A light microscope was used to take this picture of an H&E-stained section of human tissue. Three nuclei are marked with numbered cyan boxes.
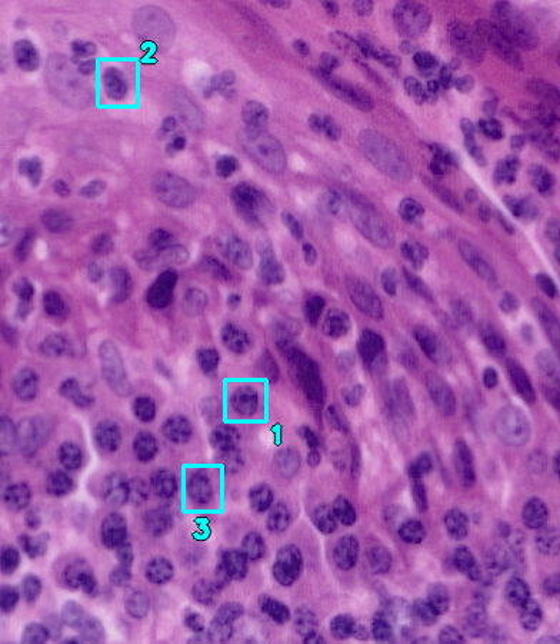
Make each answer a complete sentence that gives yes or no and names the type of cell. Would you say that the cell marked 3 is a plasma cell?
Yes, correct, the cell with the number 3 is a plasma cell.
